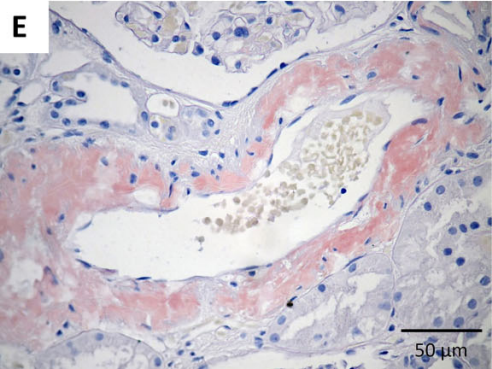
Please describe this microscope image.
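A small renal vessel cut obliquely, with a wall markedly thickened by homogeneous, pale pink-red amorphous material. The lumen is open and contains many red blood cells, which appear yellow-brown. Only a few flattened blue nuclei are seen within the thickened wall. Around the vessel lie tubules lined by epithelial cells with pale cytoplasm and round blue nuclei, separated by delicate interstitium.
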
